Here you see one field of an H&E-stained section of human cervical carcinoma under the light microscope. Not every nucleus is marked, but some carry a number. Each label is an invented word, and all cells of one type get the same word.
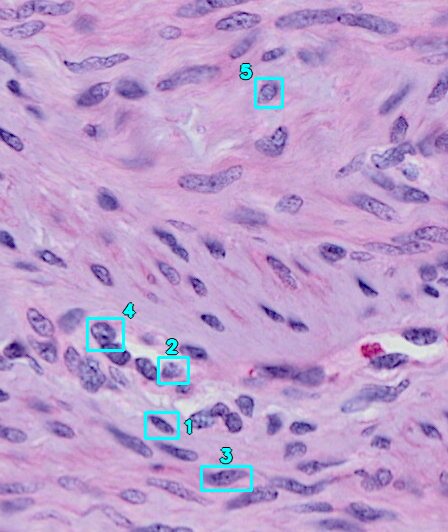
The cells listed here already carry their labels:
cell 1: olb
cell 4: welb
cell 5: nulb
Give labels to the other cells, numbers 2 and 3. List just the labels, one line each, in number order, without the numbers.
welb
nulb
